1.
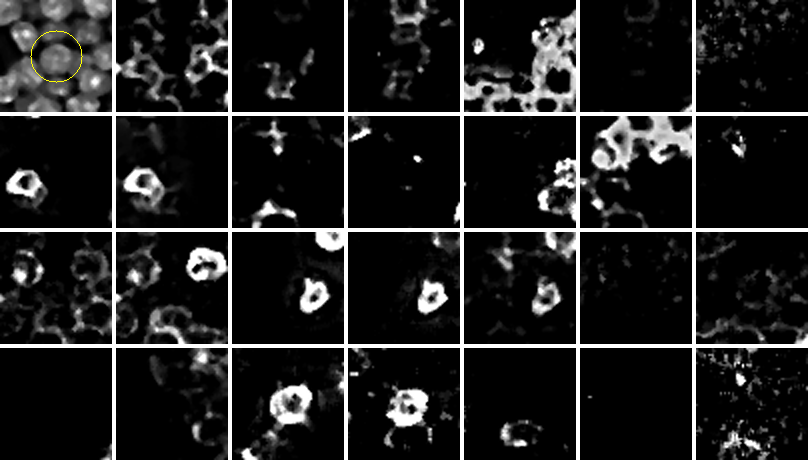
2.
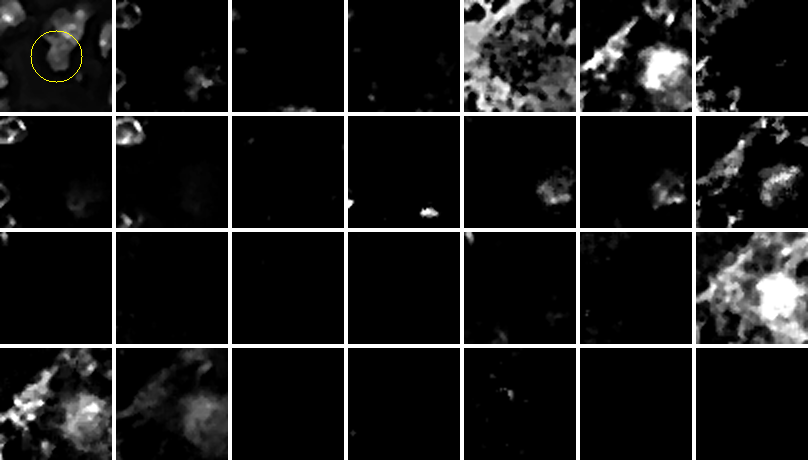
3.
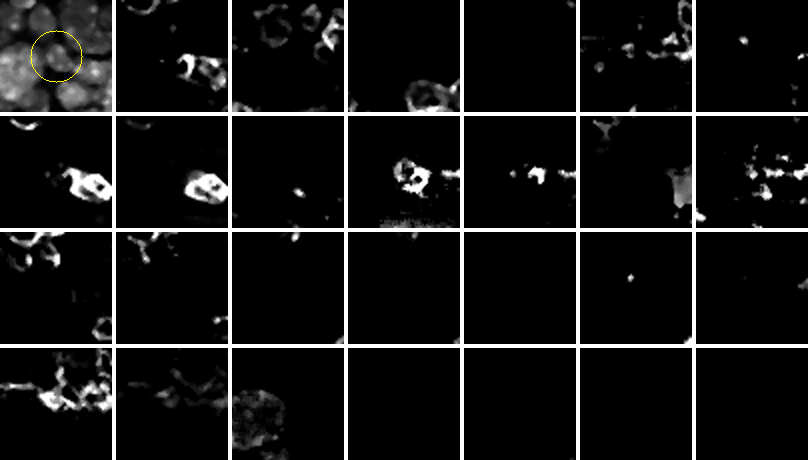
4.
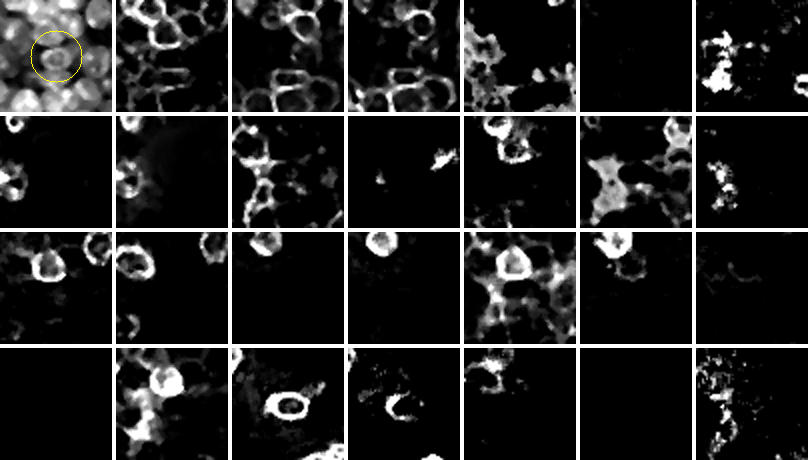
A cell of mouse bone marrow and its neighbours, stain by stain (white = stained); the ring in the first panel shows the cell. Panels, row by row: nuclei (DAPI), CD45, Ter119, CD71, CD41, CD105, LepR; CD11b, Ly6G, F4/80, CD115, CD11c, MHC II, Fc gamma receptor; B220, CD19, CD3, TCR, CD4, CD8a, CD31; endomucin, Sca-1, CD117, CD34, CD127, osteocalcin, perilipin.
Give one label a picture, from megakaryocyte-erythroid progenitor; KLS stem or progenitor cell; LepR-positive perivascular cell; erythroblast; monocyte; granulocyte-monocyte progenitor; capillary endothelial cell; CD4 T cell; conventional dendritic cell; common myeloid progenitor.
Picture 1: common myeloid progenitor
Picture 2: capillary endothelial cell
Picture 3: capillary endothelial cell
Picture 4: KLS stem or progenitor cell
